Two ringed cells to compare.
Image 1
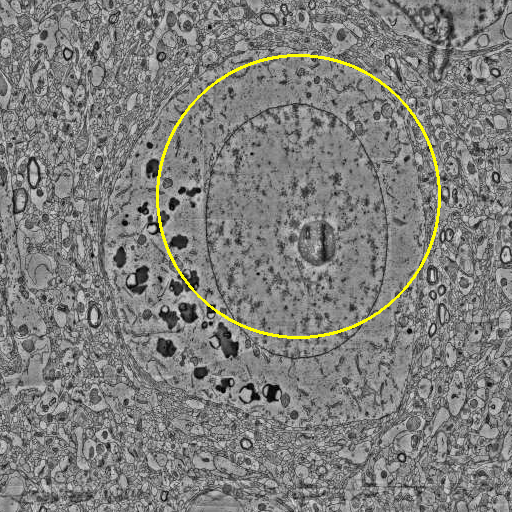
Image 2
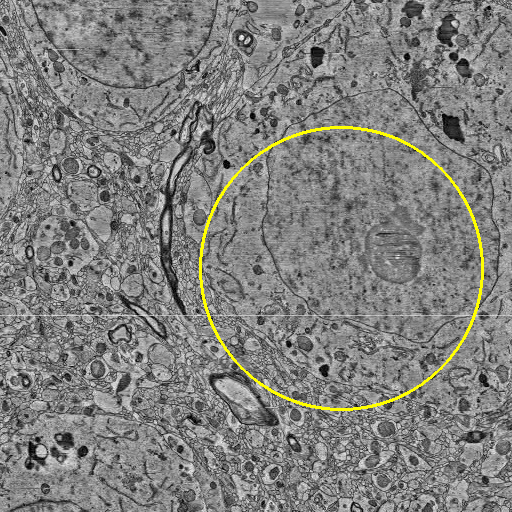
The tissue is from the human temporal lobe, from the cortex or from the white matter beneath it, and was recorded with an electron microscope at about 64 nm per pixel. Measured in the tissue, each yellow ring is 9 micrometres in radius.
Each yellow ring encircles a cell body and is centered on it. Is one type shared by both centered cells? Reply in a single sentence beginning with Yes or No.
Yes, a single type is shared by the two cells at the centers of the rings.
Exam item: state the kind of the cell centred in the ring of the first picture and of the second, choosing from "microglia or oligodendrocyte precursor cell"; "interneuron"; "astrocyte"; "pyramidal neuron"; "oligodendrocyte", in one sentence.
Each of the two rings is centred on a pyramidal neuron.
